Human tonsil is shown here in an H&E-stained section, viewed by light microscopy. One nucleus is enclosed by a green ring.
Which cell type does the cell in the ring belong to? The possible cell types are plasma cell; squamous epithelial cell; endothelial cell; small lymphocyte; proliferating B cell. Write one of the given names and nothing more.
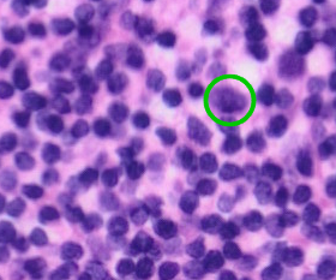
proliferating B cell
